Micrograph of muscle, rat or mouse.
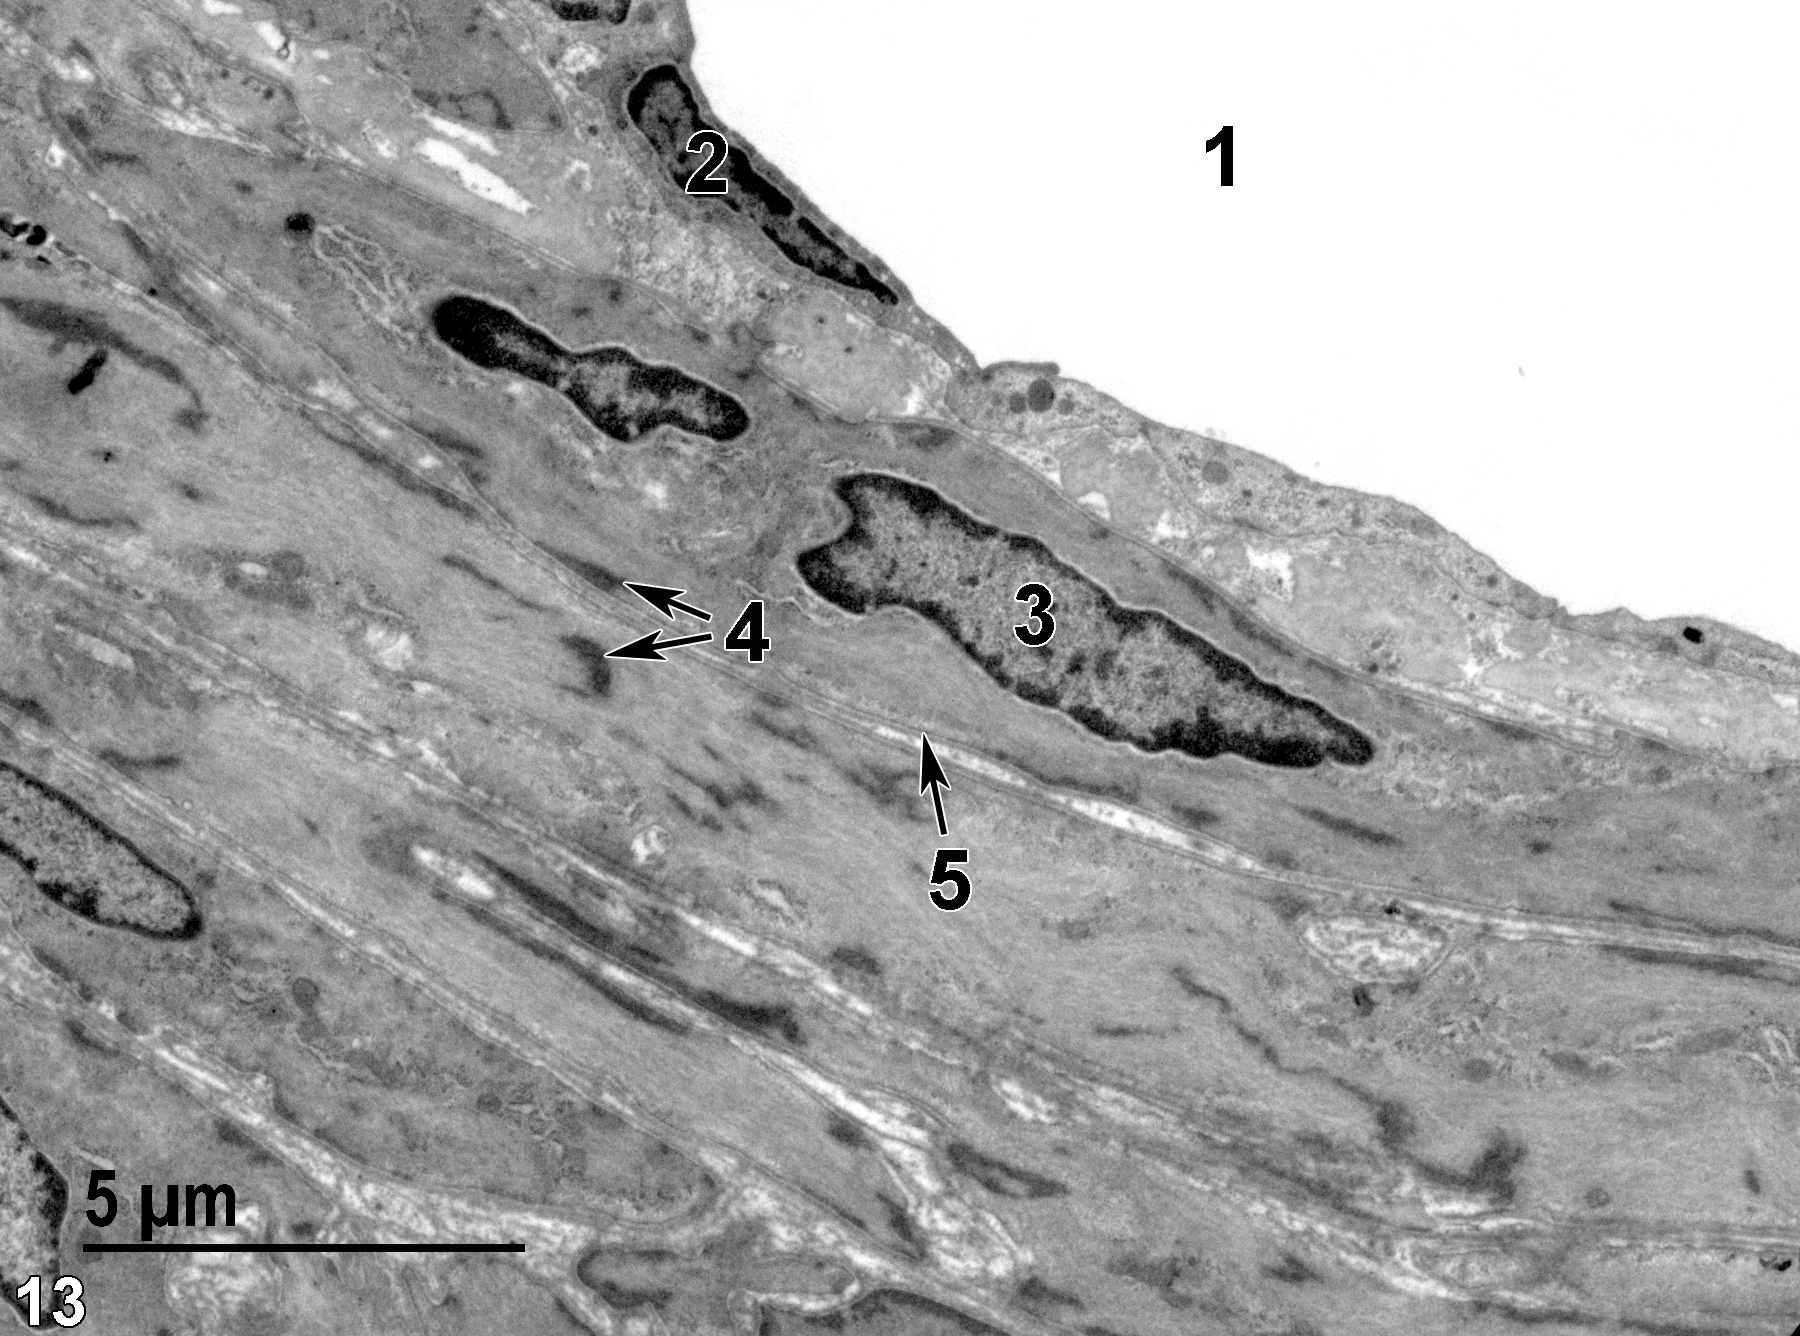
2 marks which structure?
The number 2 marks the endothelial nucleus.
